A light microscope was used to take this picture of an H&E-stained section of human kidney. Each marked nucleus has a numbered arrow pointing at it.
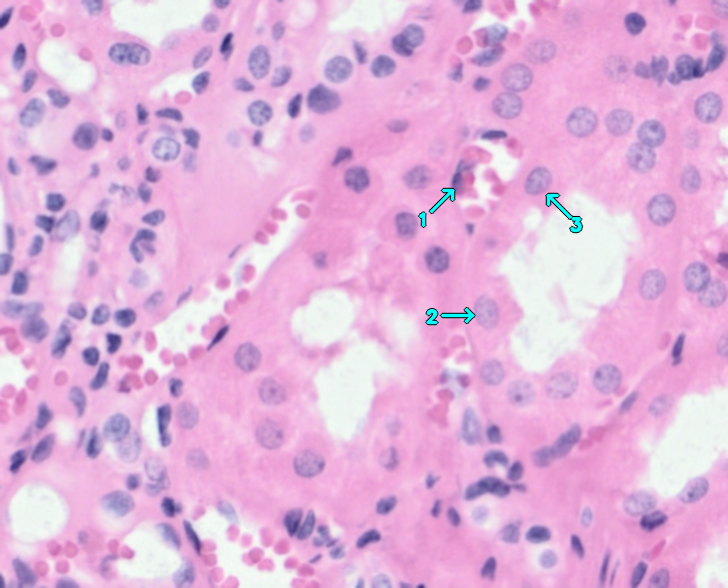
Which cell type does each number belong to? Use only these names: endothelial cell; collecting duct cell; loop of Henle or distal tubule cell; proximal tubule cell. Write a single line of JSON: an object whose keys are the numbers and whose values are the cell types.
{"1": "endothelial cell", "2": "proximal tubule cell", "3": "proximal tubule cell"}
